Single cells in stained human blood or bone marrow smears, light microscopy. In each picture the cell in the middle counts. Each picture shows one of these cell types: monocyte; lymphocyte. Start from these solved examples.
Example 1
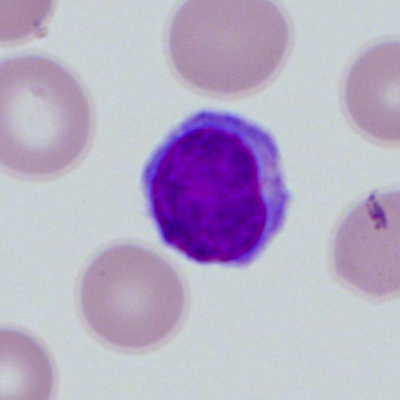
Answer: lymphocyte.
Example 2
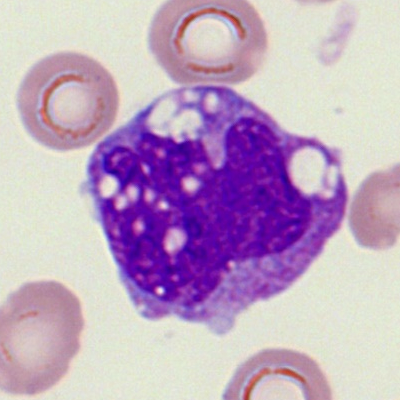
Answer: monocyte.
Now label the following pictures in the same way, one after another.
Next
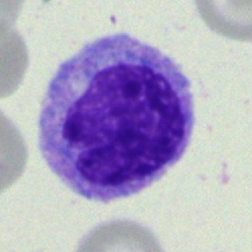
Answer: monocyte.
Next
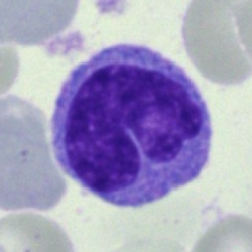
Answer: monocyte.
